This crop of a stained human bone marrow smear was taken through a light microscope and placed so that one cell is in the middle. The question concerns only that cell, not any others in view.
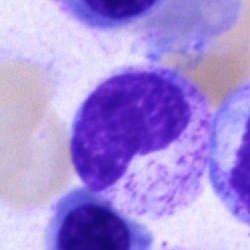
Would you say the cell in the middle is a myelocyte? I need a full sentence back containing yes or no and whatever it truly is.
No, rather than a myelocyte, the central cell is a metamyelocyte.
